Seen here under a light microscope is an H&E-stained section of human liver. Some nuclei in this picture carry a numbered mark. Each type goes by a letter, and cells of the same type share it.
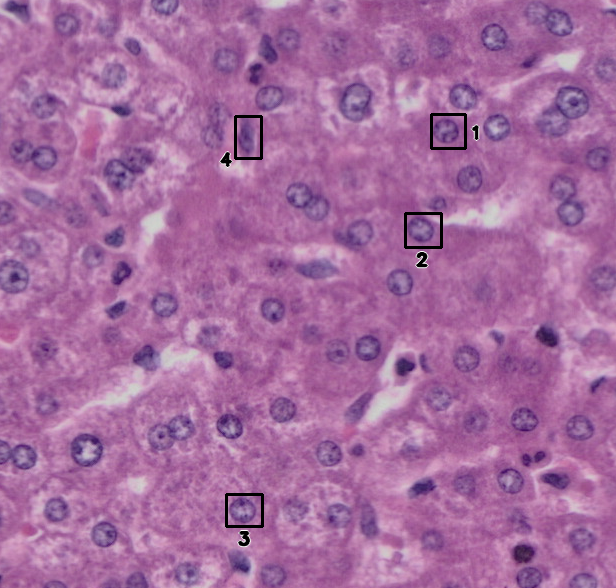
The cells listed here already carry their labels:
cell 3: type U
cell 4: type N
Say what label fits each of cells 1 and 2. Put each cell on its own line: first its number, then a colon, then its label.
1: type U
2: type U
